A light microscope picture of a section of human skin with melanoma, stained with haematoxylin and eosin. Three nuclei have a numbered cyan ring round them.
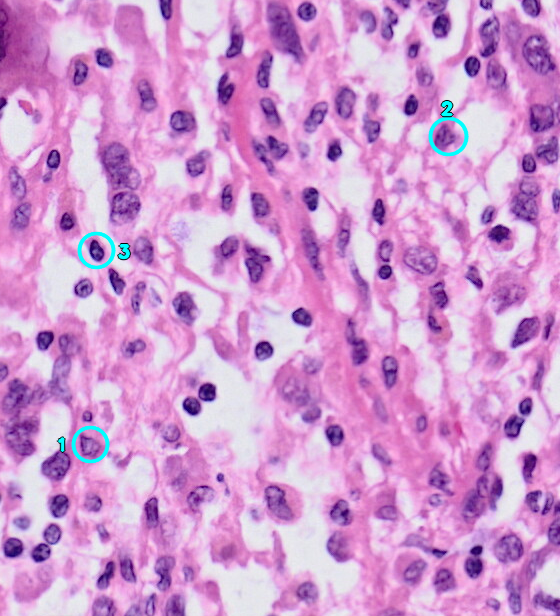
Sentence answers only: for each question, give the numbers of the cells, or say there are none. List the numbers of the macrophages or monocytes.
Each of the cells numbered 1 and 2 is among the macrophages or monocytes.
